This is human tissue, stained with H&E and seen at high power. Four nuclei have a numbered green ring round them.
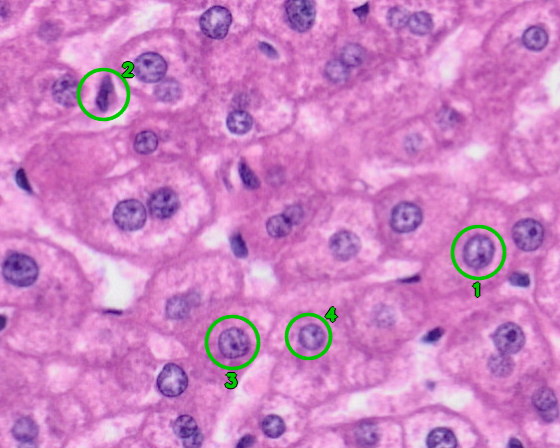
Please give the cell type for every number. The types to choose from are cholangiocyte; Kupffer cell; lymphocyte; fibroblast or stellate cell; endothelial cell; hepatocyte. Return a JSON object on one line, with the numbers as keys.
{"1": "hepatocyte", "2": "Kupffer cell", "3": "hepatocyte", "4": "hepatocyte"}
